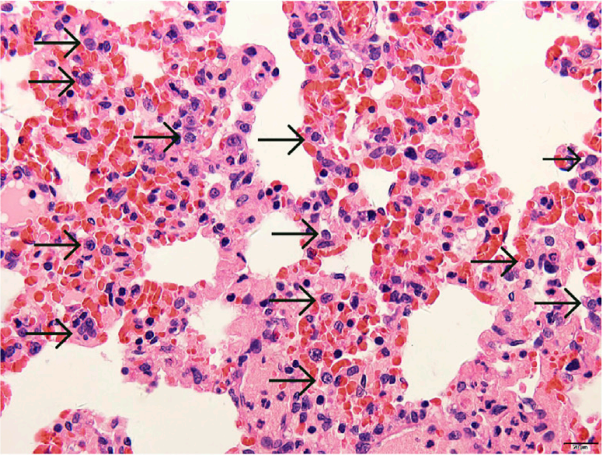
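Lung parenchyma with alveolar walls between clear air spaces. The cells marked by arrows sit within the alveolar walls and are plump, with round to oval purple nuclei, some with visible nucleoli, and modest pale pink cytoplasm.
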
